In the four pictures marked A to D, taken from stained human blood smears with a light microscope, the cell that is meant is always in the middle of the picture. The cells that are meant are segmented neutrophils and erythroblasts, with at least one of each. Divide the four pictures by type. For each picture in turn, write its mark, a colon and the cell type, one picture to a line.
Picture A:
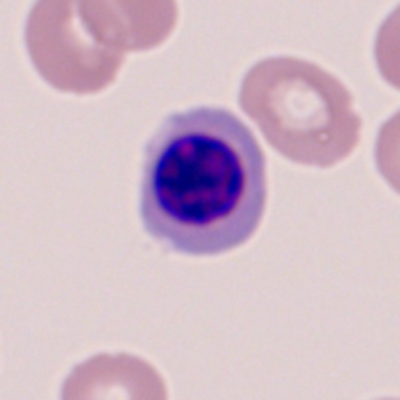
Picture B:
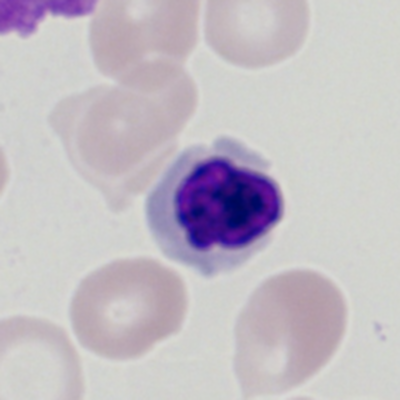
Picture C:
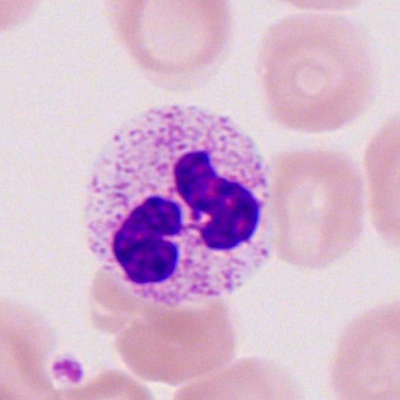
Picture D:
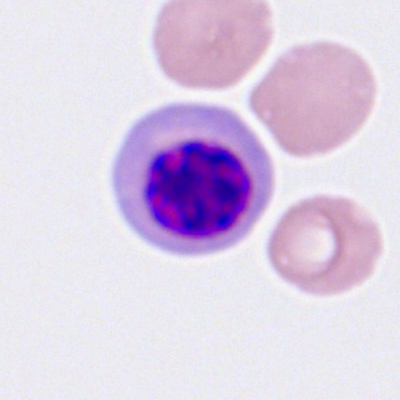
A: erythroblast
B: erythroblast
C: segmented neutrophil
D: erythroblast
